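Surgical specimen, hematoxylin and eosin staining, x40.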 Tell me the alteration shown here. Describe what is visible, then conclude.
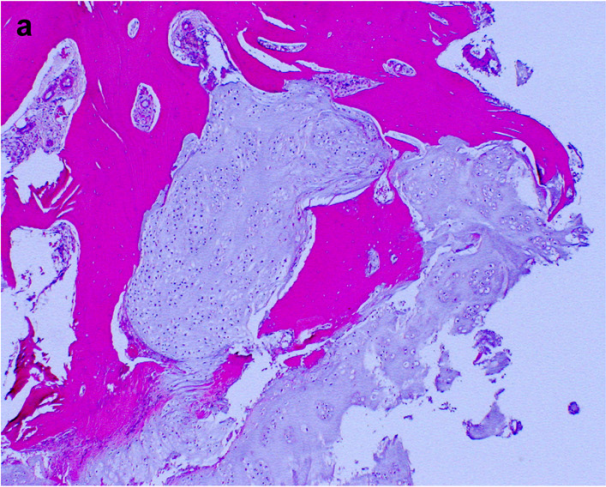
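Pale bluish-grey cartilage lobules lie between bright pink bony trabeculae. Cartilage fills the spaces between and abuts the bone. On this evidence: The cartilaginous component was permeating into the normal trabecular bone.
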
